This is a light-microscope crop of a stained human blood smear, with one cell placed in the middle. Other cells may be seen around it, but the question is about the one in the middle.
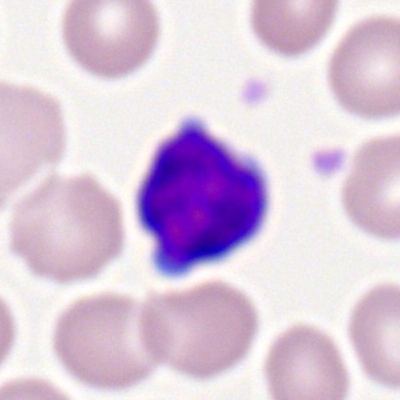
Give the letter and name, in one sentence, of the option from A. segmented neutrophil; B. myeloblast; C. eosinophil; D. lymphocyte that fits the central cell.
The correct option is D, as the central cell is a lymphocyte.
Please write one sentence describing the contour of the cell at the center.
Seen at its edge, the cell is not smooth but ragged or projecting.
